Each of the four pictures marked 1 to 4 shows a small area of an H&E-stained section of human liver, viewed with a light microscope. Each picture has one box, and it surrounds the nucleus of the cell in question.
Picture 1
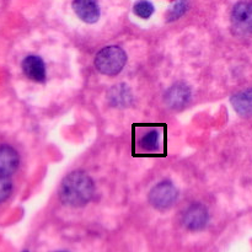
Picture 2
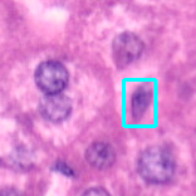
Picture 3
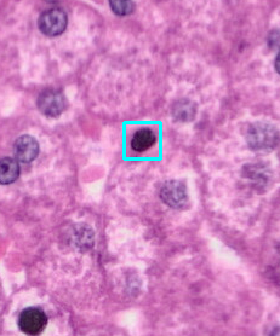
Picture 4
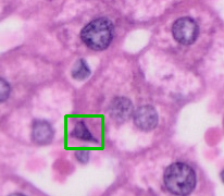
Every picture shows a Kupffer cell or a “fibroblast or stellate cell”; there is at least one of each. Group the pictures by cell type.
1: fibroblast or stellate cell
2: Kupffer cell
3: Kupffer cell
4: fibroblast or stellate cell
